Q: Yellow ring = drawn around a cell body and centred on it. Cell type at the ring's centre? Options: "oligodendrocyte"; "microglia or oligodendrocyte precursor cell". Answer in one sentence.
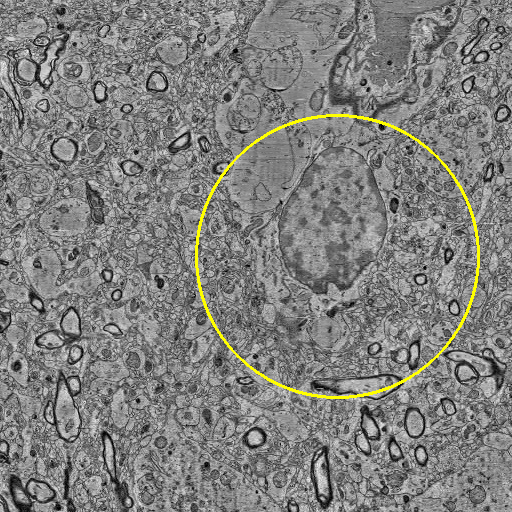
Centred in the ring is a microglial cell or oligodendrocyte precursor cell.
